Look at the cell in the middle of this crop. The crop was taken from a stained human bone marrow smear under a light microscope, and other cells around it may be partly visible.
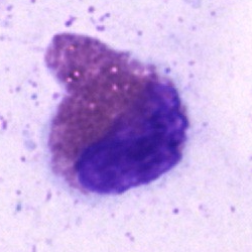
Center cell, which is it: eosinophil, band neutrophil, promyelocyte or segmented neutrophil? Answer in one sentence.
At the center of the crop sits an eosinophil.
